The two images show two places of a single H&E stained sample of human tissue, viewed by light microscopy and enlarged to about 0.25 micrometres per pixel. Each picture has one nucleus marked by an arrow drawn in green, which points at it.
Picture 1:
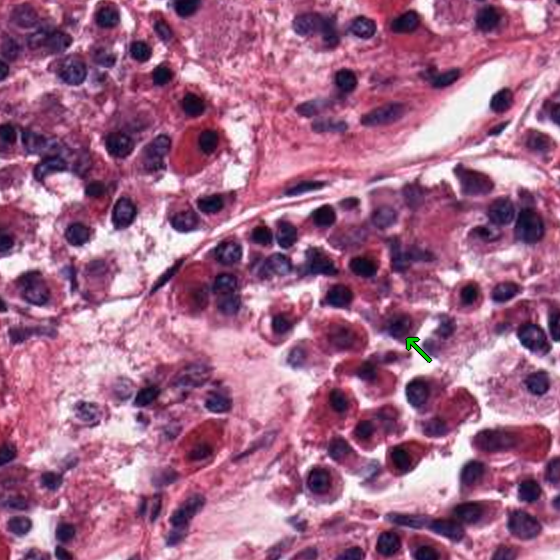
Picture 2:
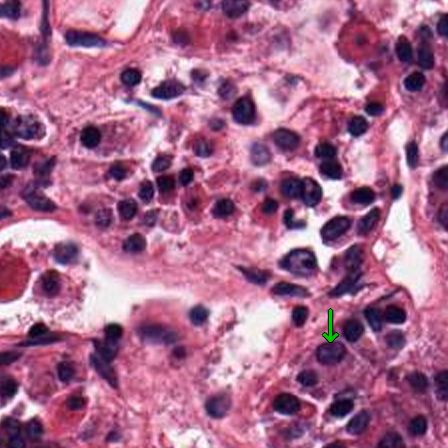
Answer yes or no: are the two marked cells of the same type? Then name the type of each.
Yes, both are anterior pituitary cells.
